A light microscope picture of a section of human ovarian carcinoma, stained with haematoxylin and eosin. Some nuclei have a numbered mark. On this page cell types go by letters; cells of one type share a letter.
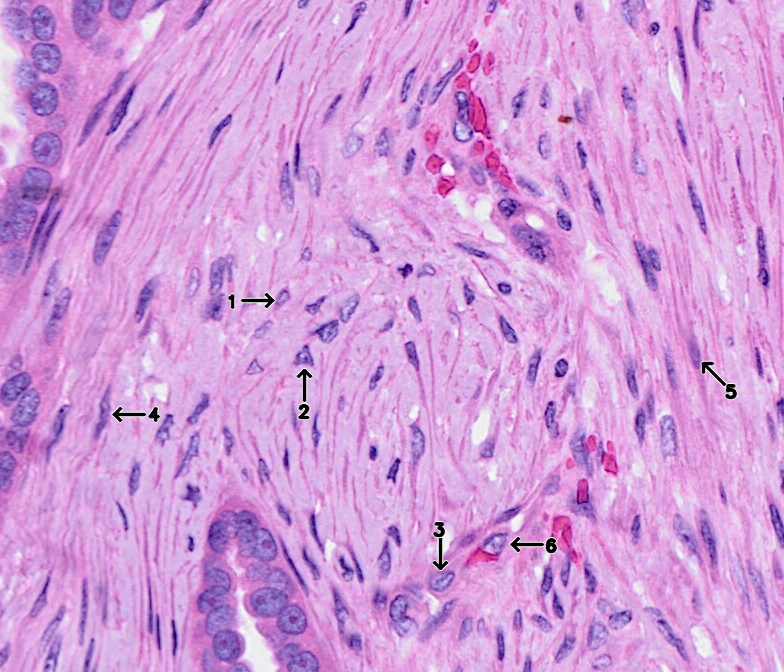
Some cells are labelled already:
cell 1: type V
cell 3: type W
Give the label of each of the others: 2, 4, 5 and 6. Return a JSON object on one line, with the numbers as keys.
{"2": "type V", "4": "type V", "5": "type V", "6": "type W"}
